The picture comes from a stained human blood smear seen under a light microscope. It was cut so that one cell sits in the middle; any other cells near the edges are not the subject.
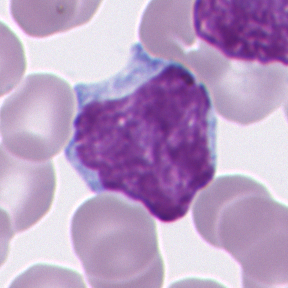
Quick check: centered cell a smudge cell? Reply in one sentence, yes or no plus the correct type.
No, what is centred in the crop is not a smudge cell but a typical lymphocyte.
